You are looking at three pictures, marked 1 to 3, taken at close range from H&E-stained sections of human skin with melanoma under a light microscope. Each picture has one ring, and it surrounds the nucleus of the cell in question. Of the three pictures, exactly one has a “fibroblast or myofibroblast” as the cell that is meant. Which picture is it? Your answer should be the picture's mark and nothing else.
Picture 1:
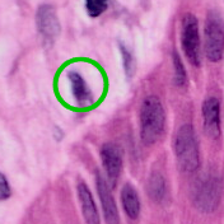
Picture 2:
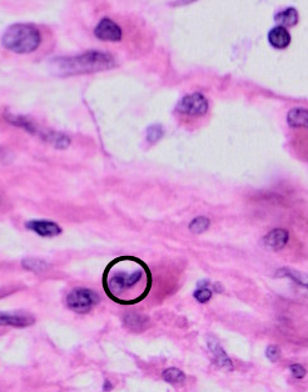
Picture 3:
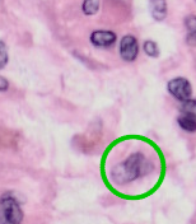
1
